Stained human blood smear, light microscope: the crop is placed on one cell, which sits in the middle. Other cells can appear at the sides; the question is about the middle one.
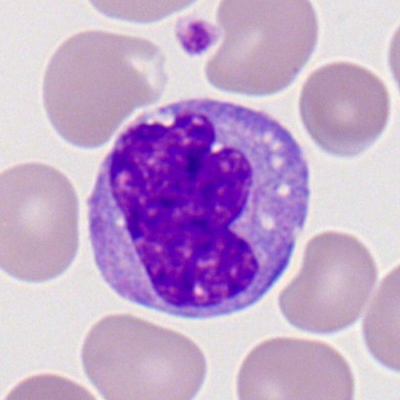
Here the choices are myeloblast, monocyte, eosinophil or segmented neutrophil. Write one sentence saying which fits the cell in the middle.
To answer, the cell in the center of the crop is a monocyte.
